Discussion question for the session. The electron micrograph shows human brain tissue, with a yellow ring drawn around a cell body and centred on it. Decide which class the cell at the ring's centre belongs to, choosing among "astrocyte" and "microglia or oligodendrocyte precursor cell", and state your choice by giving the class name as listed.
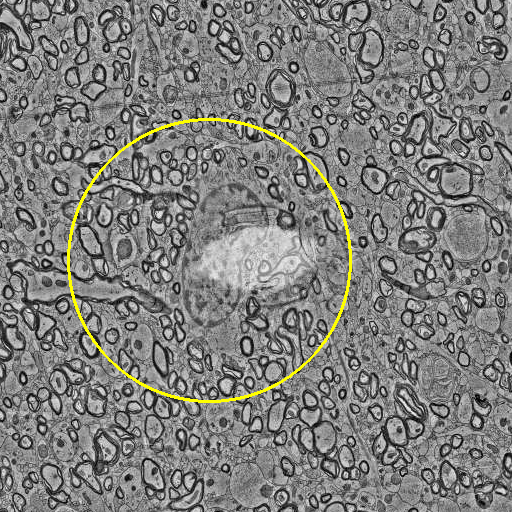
microglia or oligodendrocyte precursor cell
